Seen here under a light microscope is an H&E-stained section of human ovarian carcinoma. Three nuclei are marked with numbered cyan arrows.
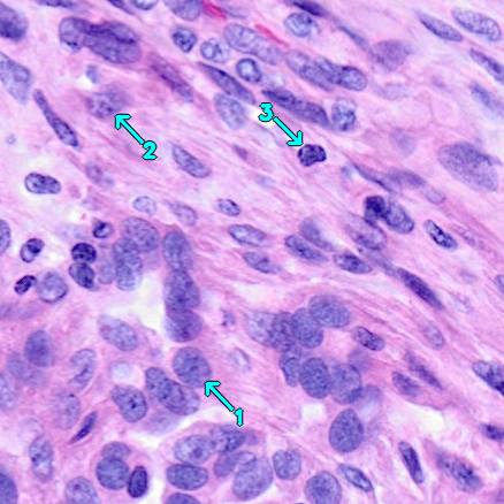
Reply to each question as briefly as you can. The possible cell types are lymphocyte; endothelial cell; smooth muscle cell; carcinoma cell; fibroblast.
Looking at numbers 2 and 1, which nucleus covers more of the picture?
1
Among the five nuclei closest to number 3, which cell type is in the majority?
fibroblast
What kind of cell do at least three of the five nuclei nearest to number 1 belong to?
carcinoma cell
